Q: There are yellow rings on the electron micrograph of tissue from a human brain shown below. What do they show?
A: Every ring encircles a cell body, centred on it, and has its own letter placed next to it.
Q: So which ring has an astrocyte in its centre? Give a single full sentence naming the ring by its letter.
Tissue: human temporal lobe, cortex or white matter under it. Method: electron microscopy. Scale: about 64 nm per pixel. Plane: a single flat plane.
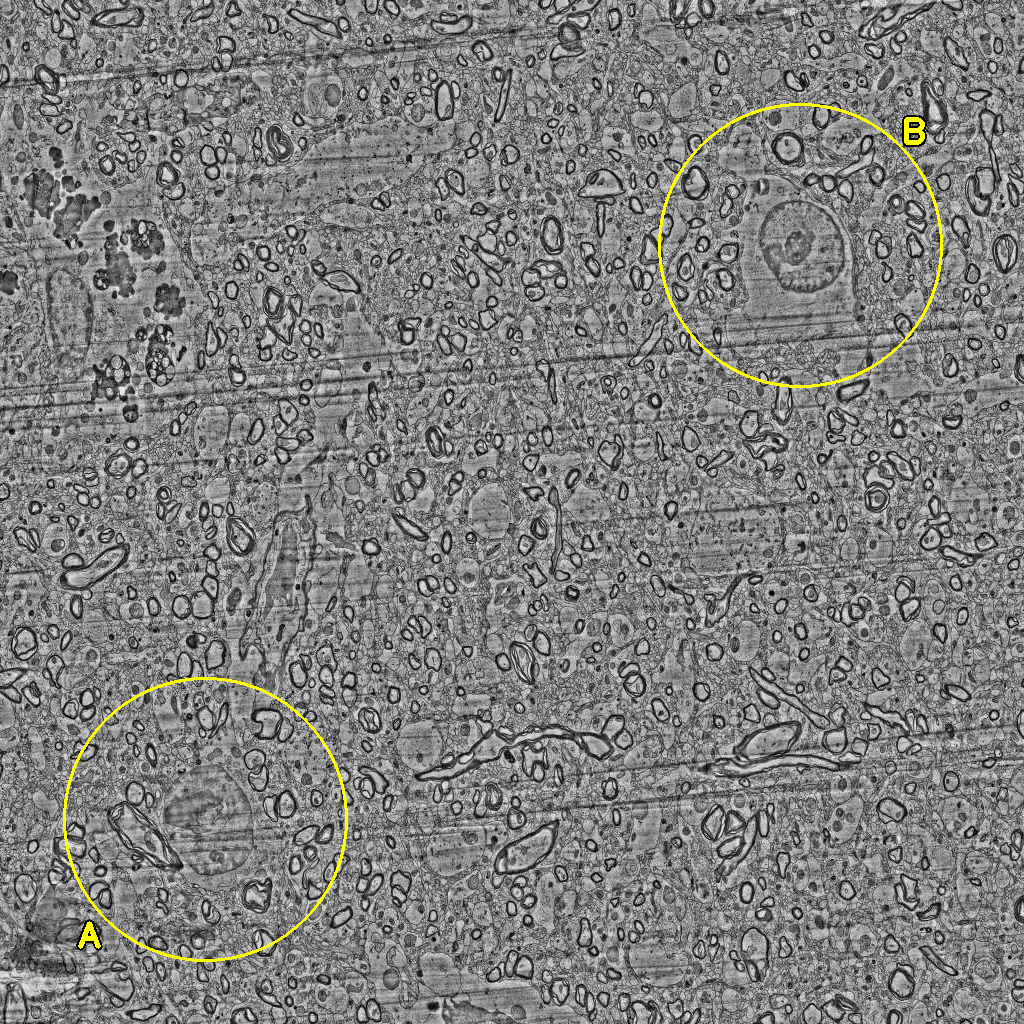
Ring B has the cell asked for at its centre in the picture.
